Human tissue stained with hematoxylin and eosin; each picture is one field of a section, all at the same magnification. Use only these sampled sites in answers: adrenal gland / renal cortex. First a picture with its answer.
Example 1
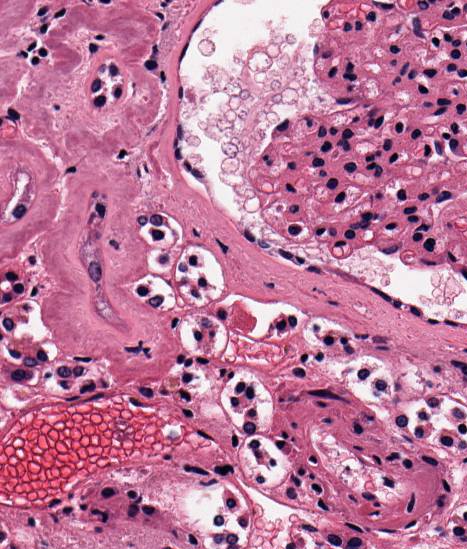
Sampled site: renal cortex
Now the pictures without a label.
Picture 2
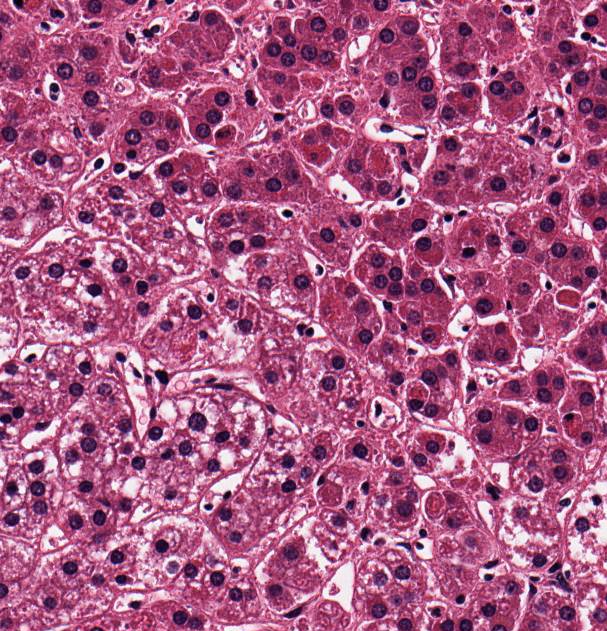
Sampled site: adrenal gland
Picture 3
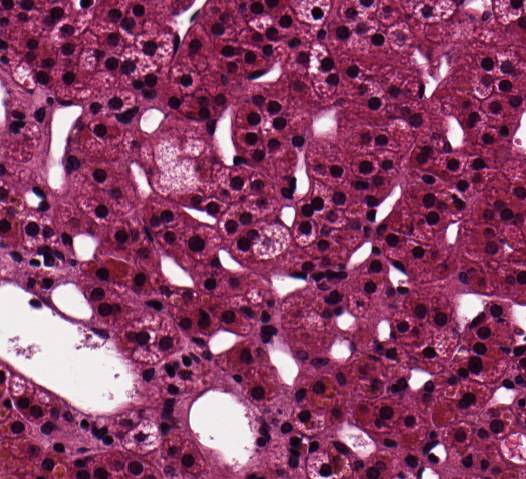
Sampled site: adrenal gland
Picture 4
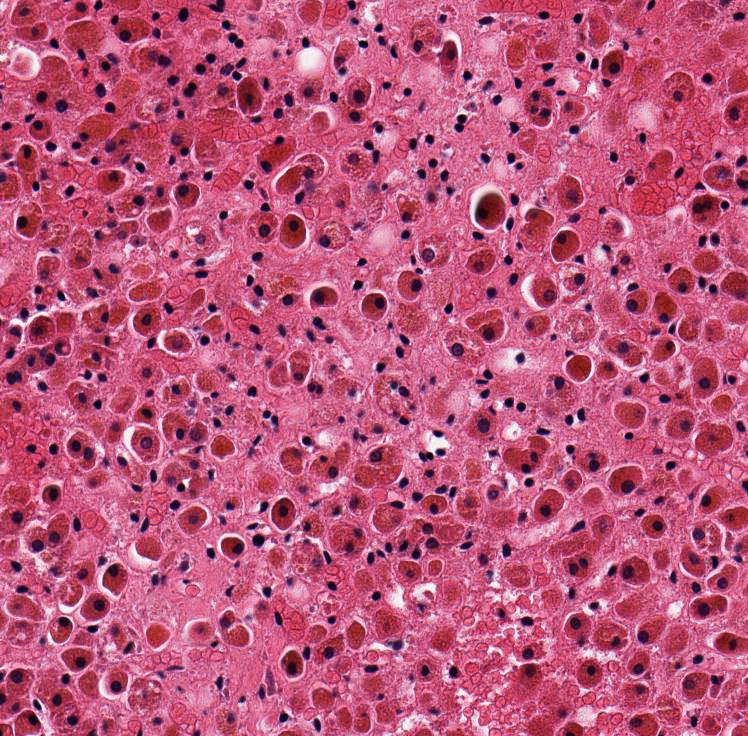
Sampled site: adrenal gland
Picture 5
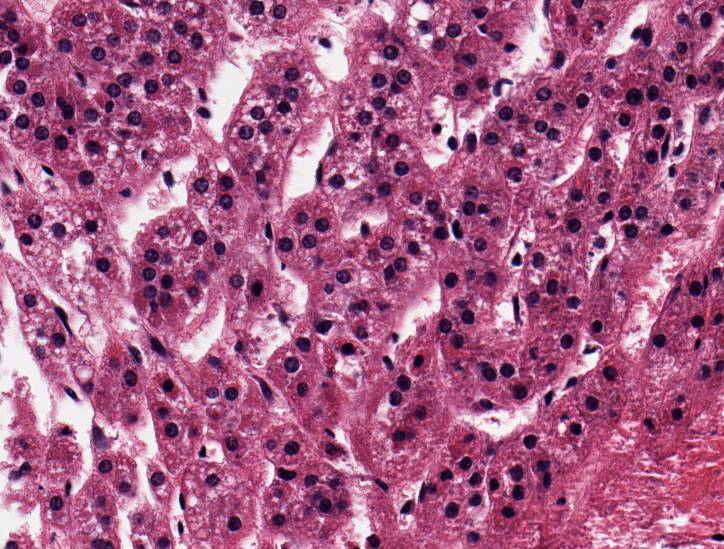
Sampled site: adrenal gland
